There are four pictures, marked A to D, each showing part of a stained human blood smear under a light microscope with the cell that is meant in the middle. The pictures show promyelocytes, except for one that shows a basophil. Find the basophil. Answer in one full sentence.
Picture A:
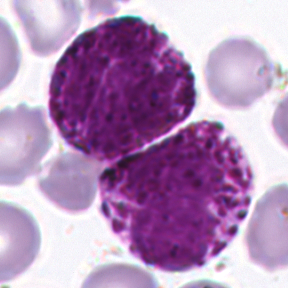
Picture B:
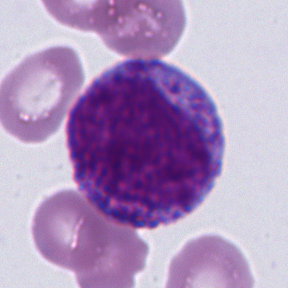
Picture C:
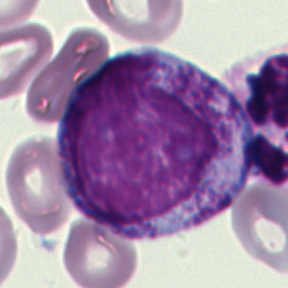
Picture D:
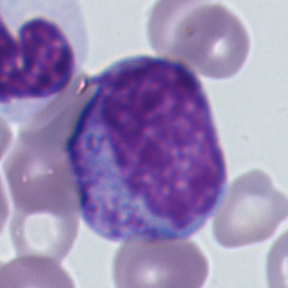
The cell in picture A is the basophil.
